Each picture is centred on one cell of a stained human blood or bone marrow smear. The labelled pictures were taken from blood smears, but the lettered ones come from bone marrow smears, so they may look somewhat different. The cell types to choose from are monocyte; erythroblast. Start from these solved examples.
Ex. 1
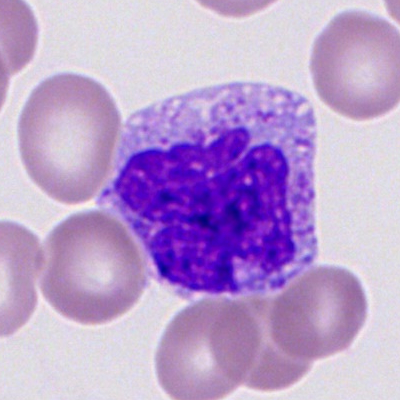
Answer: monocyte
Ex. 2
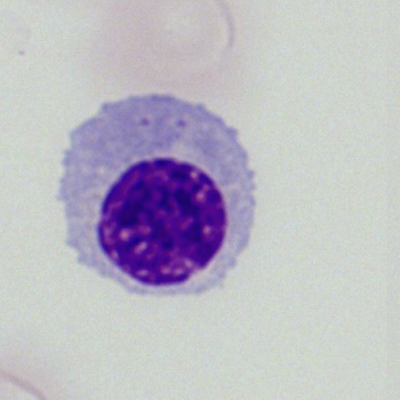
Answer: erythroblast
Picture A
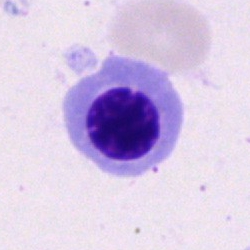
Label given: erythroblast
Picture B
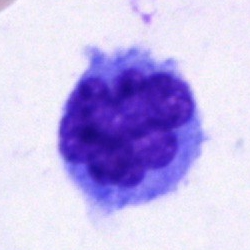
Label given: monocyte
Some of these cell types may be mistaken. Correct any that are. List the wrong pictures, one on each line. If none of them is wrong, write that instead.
Every label is right.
